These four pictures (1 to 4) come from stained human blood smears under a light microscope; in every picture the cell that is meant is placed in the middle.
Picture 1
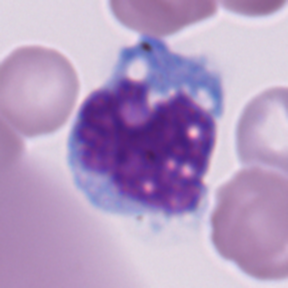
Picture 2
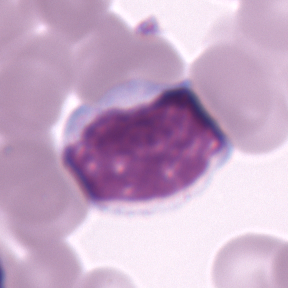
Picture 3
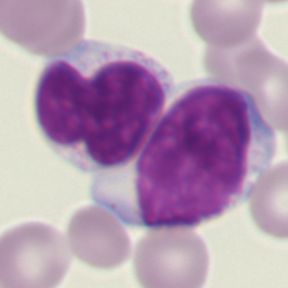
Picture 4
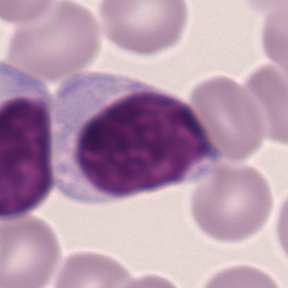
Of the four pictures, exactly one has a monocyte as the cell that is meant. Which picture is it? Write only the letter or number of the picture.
1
